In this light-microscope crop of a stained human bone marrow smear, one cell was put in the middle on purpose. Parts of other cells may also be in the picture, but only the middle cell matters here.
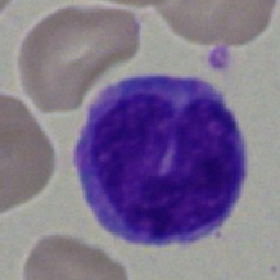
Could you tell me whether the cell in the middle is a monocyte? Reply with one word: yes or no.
yes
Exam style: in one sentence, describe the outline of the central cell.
Its periphery is smooth, and no projections arise from it.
